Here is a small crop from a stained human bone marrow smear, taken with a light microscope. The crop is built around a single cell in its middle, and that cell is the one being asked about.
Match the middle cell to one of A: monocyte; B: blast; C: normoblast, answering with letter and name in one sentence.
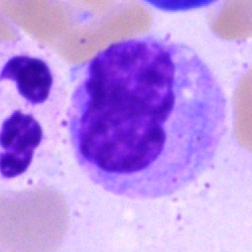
The cell at the centre is a monocyte, and option A accordingly is correct.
